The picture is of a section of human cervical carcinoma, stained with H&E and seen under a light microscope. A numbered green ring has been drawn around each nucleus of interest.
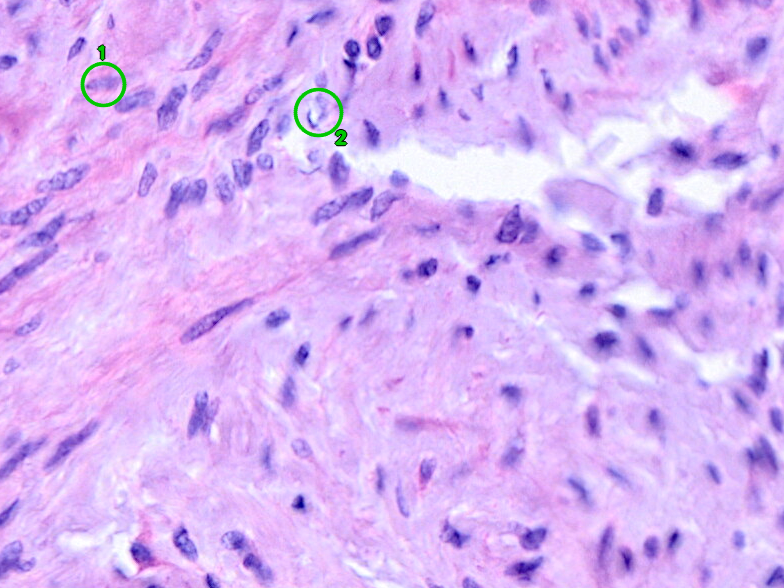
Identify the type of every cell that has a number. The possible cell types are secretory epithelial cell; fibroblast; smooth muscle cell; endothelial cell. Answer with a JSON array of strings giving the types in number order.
["smooth muscle cell", "fibroblast"]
